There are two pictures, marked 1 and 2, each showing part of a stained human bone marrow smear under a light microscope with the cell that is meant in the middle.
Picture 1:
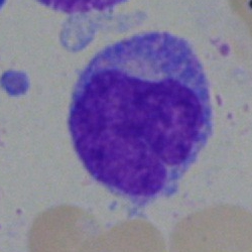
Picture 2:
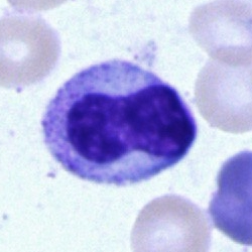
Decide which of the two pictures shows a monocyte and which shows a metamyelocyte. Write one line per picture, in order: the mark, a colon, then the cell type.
1: monocyte
2: metamyelocyte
